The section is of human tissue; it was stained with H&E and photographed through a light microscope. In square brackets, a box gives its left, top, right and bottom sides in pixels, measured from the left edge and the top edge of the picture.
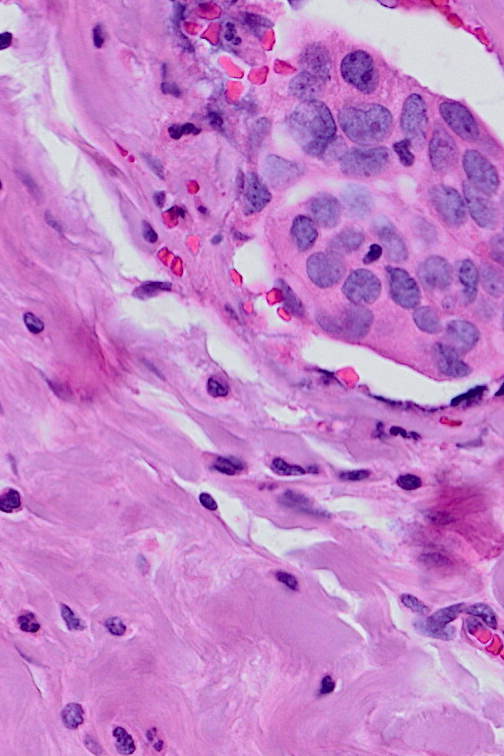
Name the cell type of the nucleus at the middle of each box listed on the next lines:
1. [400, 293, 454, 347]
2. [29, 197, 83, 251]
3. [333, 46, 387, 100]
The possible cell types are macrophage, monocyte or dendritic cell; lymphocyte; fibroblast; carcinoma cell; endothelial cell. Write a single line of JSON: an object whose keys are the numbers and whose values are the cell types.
{"1": "carcinoma cell", "2": "fibroblast", "3": "carcinoma cell"}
